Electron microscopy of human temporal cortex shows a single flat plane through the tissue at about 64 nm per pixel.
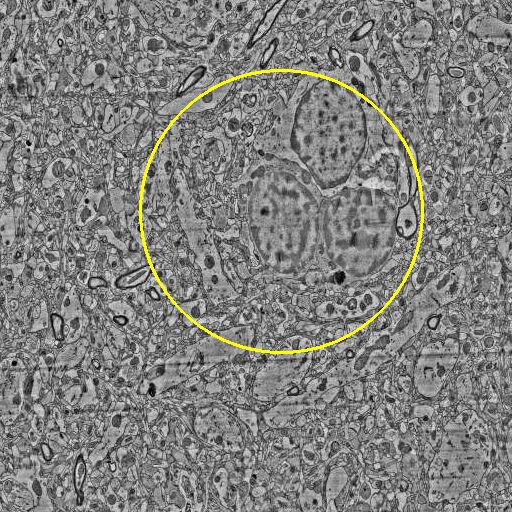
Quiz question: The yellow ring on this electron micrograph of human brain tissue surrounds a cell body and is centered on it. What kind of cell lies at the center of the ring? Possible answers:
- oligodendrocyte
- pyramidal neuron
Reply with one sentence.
The ring's center lies on an oligodendrocyte.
